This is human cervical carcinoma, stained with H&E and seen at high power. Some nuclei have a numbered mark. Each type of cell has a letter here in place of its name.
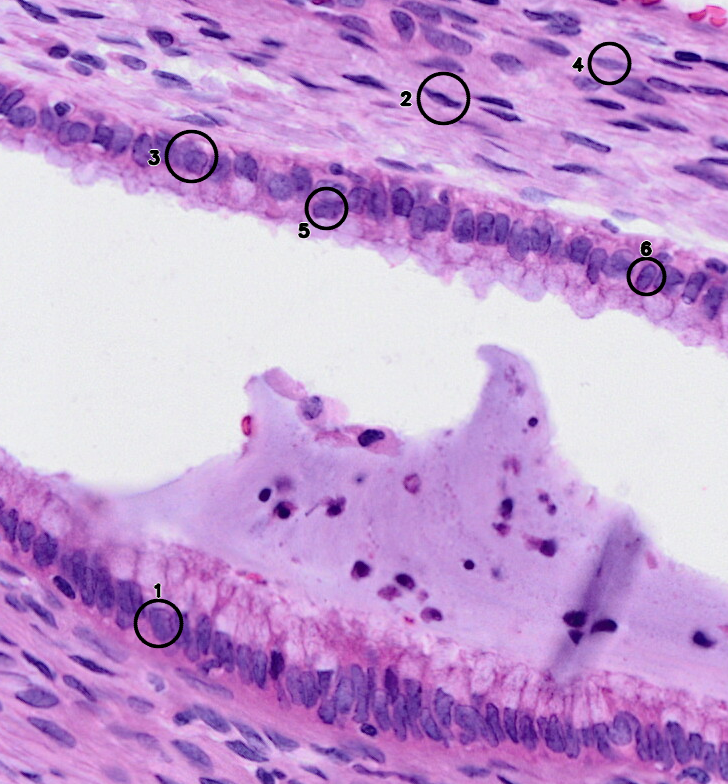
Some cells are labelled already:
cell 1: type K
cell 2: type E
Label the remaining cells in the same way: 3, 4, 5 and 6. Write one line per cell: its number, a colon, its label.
3: type K
4: type E
5: type K
6: type K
